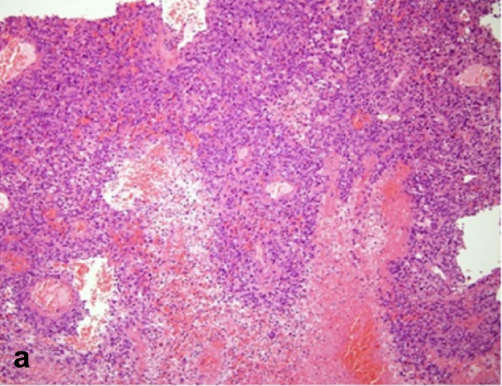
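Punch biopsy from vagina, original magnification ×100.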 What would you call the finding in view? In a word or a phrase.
Marked necrosis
